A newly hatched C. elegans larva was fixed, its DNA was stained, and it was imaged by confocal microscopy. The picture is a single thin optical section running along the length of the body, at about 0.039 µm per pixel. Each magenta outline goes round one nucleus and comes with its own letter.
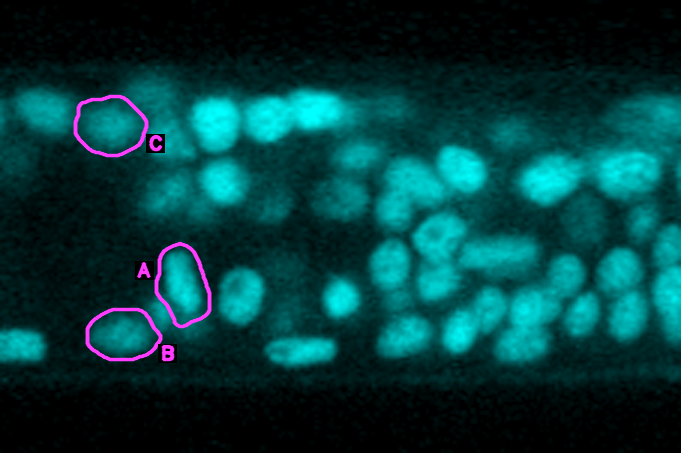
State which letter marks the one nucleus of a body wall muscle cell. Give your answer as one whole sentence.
B is the nucleus of a body wall muscle cell.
